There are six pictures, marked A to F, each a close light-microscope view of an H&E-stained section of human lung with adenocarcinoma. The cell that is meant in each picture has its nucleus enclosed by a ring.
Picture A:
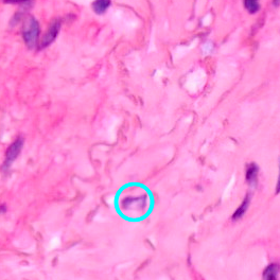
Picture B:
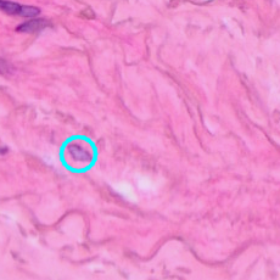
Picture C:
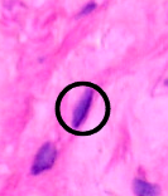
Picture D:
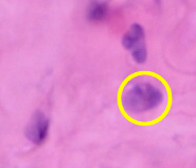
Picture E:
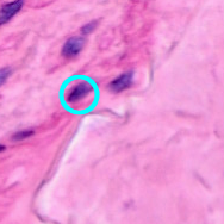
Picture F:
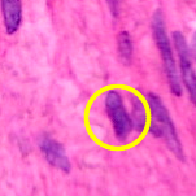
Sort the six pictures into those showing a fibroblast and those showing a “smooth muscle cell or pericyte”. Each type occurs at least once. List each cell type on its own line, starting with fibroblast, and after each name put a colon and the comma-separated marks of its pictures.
fibroblast: A, D
smooth muscle cell or pericyte: B, C, E, F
